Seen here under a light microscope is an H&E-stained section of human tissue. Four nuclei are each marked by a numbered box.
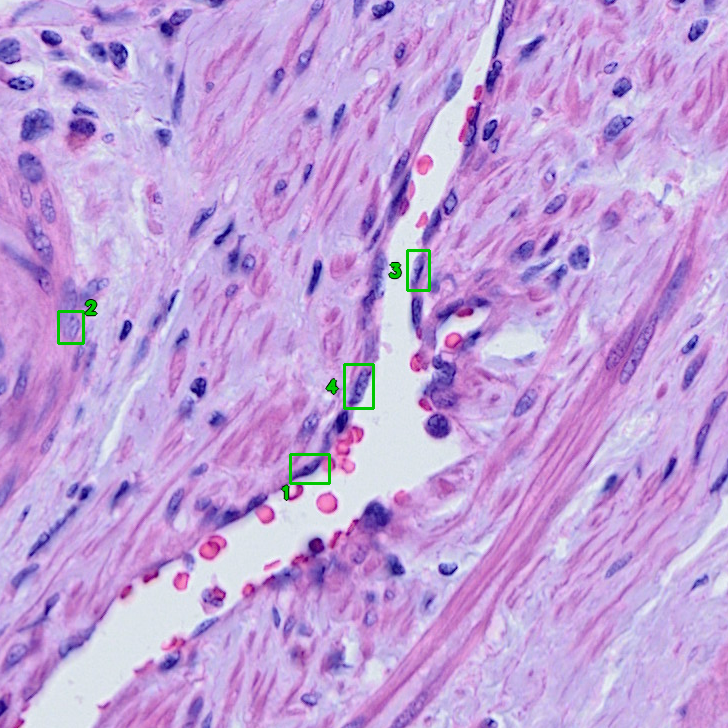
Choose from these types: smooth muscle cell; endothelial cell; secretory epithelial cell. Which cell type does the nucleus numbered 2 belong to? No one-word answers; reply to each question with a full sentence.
Recognised here as a smooth muscle cell is the cell numbered 2.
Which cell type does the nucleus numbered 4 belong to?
Cell 4 in the field is an endothelial cell.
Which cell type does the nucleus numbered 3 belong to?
Numbered cell 3 is an endothelial cell in this tissue section.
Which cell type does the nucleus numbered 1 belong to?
Cell 1 in the field of view is an endothelial cell.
